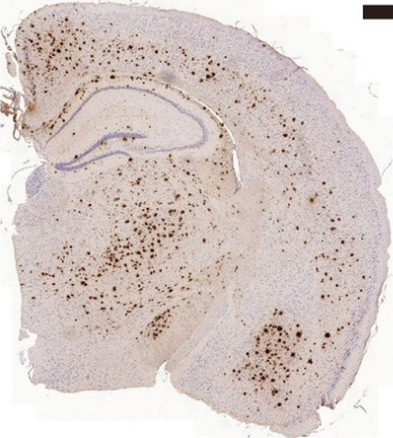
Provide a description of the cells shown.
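A coronal section through one brain hemisphere at low magnification shows many plaques as small, round, dark brown deposits on a pale background with a light blue counterstain. The hippocampus stands out by its curved, blue-stained cell layers, and holds only few deposits. The deposits are scattered through the cortex, are most numerous in its upper part, fill much of the deep central region beneath the hippocampus, and form a dense cluster near the ventral edge of the section.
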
